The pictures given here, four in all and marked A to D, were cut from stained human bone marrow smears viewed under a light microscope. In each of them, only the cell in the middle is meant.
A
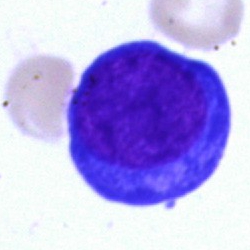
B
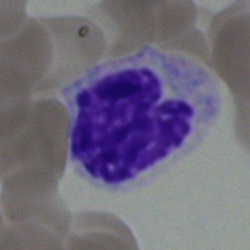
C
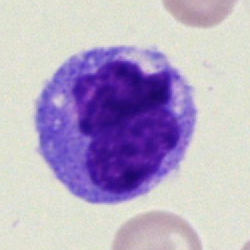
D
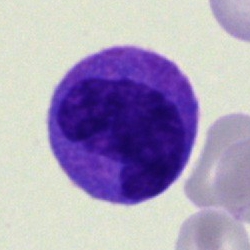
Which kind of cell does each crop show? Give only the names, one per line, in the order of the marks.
proerythroblast
band neutrophil
monocyte
monocyte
